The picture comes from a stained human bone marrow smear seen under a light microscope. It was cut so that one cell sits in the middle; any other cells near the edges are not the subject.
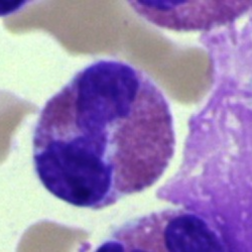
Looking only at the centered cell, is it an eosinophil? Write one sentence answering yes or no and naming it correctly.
Yes, the cell that lies centrally is an eosinophil.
